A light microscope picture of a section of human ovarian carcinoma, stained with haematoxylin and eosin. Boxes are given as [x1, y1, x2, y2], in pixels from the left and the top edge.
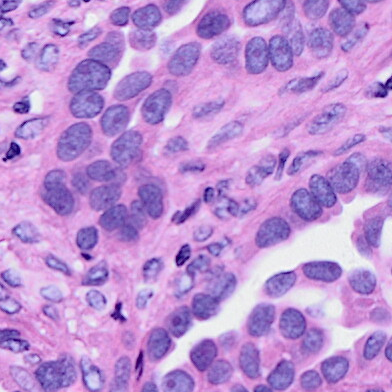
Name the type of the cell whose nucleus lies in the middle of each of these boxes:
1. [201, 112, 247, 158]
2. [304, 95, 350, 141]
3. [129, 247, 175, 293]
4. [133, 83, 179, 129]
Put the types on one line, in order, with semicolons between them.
fibroblast; fibroblast; fibroblast; carcinoma cell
